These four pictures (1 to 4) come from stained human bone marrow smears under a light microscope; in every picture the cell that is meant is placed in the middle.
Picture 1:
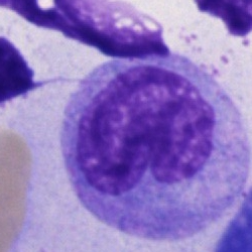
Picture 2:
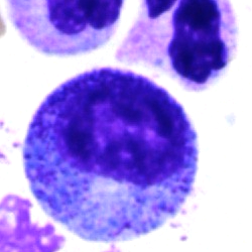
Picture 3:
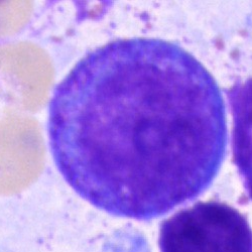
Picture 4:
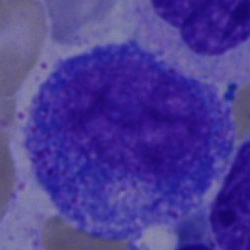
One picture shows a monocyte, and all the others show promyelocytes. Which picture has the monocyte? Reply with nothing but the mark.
1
